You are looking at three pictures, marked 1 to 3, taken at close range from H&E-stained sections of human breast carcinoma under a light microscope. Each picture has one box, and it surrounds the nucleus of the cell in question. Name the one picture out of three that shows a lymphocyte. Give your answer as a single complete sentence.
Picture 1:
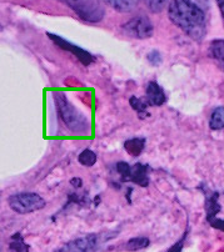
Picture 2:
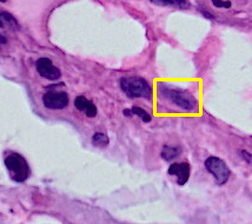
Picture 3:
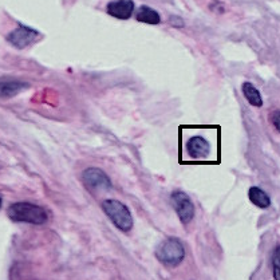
The lymphocyte is the one in picture 3.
